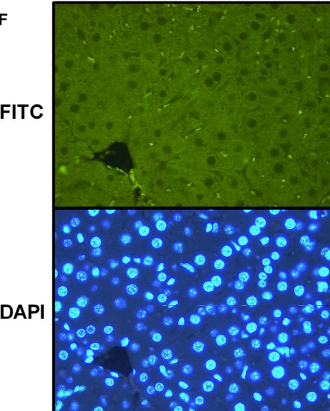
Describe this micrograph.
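Liver tissue with hepatocytes showing evenly distributed dull green cytoplasm in the upper green image. The nuclei appear as round dark holes without green rims. A small dark vessel lumen lies at the lower left. In the blue image the nuclei are round, of similar size and fairly evenly spaced, some with fine granular chromatin.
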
